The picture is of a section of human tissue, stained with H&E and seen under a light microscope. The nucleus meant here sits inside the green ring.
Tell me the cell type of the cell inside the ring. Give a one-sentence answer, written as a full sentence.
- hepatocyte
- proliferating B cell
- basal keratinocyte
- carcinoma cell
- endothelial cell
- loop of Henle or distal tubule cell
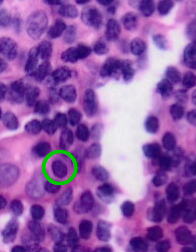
In the tissue at hand, the cell inside the ring is an endothelial cell.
